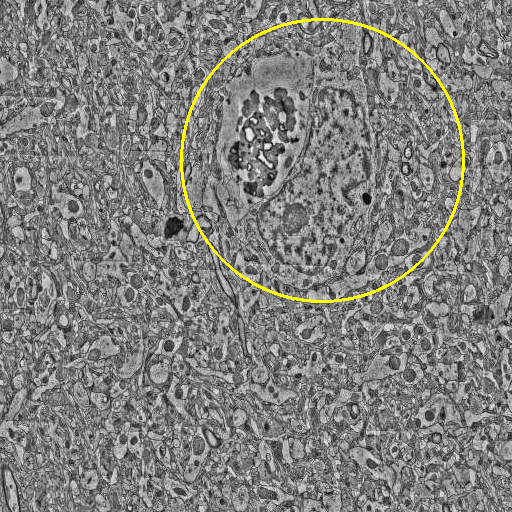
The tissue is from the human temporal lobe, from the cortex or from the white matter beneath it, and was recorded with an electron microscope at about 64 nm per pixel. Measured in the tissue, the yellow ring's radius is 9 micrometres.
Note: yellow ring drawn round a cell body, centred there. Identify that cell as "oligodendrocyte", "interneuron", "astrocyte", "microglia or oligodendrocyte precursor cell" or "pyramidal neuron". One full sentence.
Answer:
The cell in the middle of the ring is an interneuron.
